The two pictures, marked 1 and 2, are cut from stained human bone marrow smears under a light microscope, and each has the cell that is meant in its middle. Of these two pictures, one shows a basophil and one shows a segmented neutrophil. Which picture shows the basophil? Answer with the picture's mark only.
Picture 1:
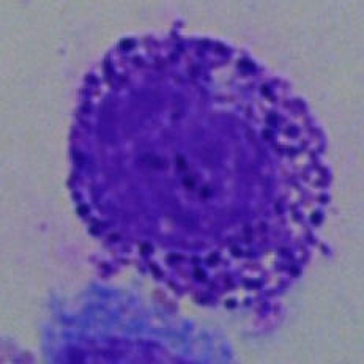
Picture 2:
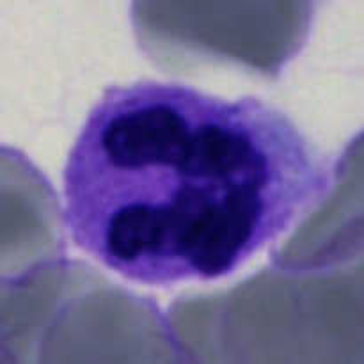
1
